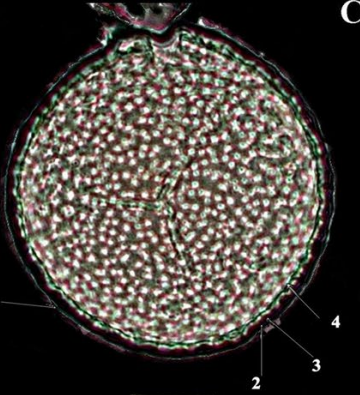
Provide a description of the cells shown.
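A single round spore is seen with a three-armed mark at its centre and a densely pitted, granular surface pattern. Its wall is made of several concentric layers, from a dark outermost coat to a thin innermost layer lining the contents.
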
